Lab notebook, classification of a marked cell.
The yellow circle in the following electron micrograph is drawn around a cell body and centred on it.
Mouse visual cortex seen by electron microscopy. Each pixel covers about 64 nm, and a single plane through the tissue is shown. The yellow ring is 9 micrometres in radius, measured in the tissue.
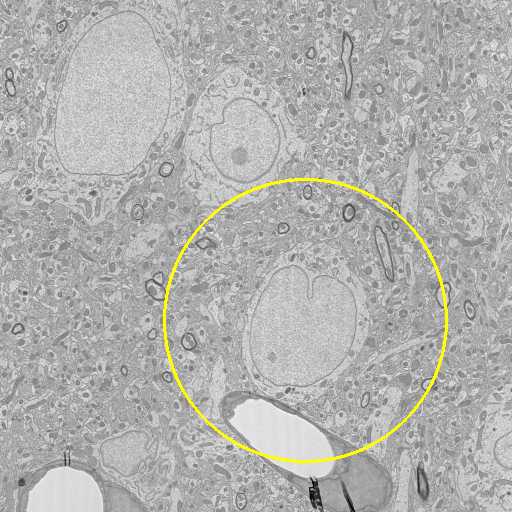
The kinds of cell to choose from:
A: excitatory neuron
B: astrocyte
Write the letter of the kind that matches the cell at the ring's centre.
A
